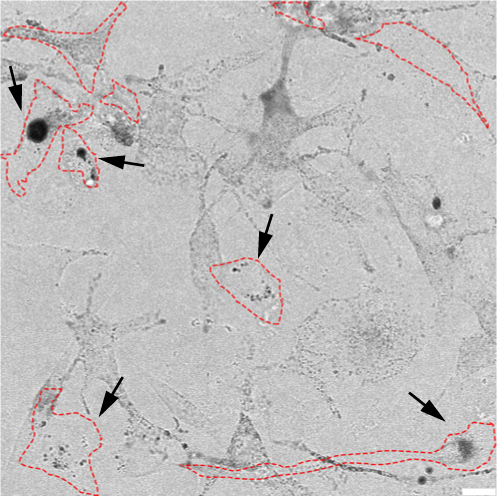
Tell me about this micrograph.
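Dark, dense granules are scattered in and around the outlined cells, some clustered near the cell bodies. These dendritic, pigment-bearing cells are melanocytes.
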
